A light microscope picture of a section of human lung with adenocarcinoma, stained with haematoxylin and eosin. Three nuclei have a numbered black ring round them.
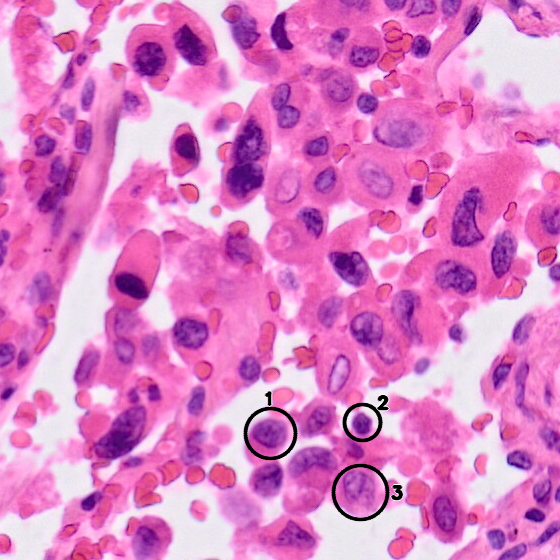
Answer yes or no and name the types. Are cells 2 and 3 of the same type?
No, cell 2 is a lymphocyte and cell 3 is a carcinoma cell.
